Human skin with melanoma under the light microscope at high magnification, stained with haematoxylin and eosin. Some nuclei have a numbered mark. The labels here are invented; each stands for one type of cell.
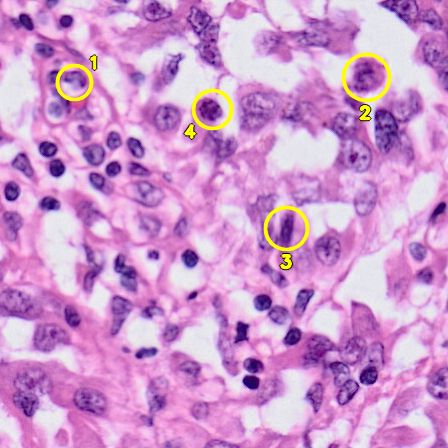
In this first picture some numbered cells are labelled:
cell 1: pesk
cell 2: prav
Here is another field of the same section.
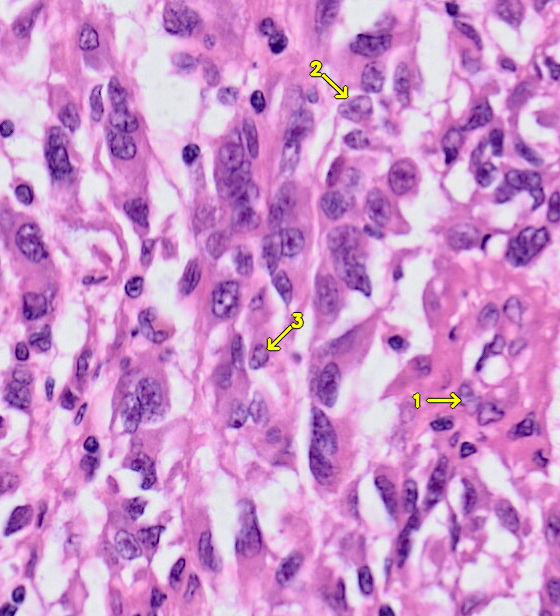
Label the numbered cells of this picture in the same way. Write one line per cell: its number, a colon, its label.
1: pesk
2: prav
3: prav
